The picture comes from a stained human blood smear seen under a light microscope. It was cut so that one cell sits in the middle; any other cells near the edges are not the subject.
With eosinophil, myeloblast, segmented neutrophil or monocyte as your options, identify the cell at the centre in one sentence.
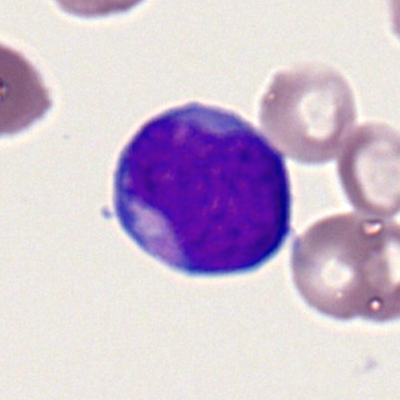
This crop has a myeloblast at its centre.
